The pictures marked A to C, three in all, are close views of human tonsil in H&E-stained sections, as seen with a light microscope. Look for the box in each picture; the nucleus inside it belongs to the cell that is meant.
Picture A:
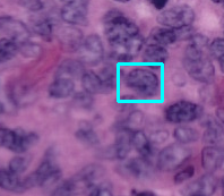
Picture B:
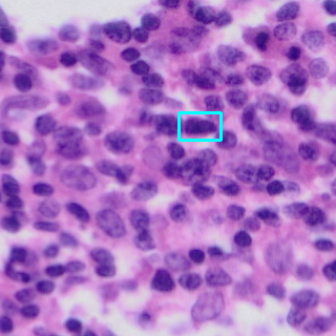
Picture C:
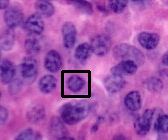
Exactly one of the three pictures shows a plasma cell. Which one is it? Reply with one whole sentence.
Picture C is the one that shows the plasma cell.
